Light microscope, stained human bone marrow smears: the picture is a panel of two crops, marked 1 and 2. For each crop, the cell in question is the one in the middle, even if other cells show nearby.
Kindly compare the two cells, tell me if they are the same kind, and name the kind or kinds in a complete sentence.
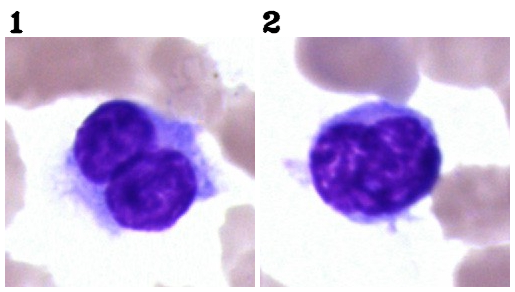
Yes, in the middle of both crops, hairy cells are shown.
